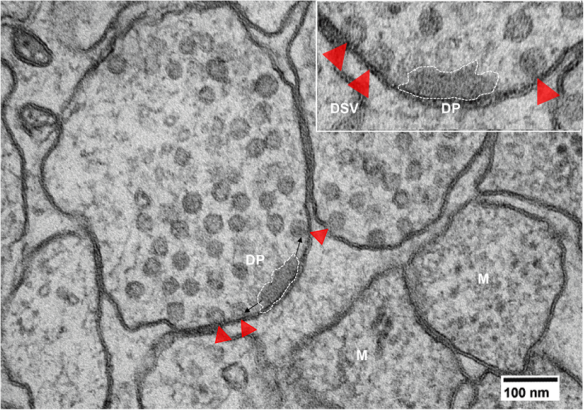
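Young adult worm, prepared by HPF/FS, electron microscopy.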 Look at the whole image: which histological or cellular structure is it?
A: Synapse.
